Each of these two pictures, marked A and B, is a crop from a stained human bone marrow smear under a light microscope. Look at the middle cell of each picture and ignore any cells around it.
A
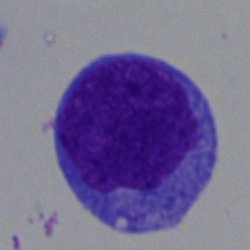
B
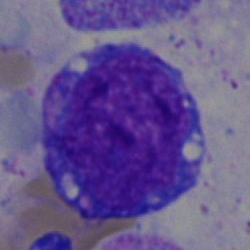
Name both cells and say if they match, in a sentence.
Yes, the first and the second crop both show blasts.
